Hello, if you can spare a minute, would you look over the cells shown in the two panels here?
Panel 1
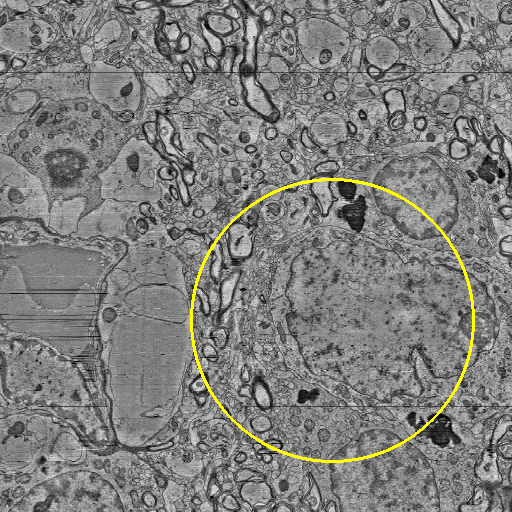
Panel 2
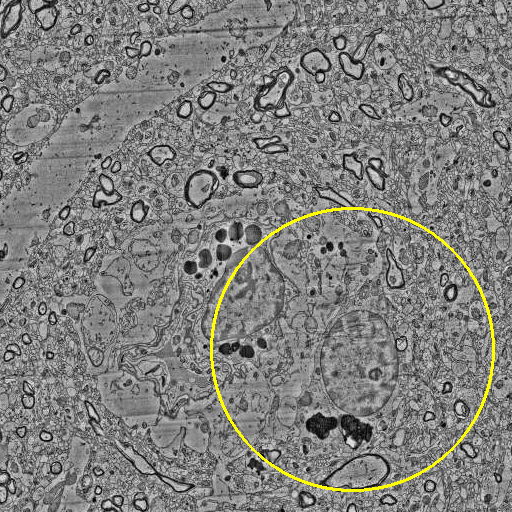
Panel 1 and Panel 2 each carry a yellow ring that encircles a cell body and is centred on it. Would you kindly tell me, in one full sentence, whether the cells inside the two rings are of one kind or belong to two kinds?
The cells at the centres of the rings in Panel 1 and Panel 2 belong to two kinds.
